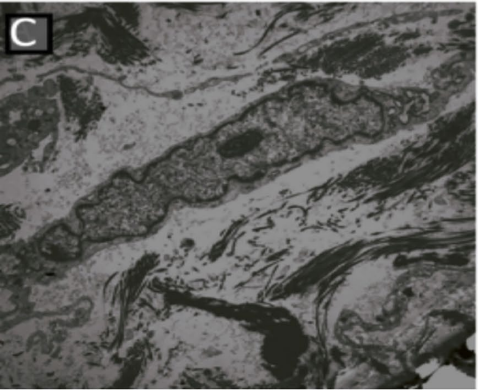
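Interstitial tissue with an elongated spindle-shaped cell lying among dense bundles of collagen fibrils. Its nucleus is long and oval with an irregular, wavy outline and a dark central clump of chromatin, surrounded by only a thin rim of cytoplasm. Very thin, winding cell processes run through the surrounding matrix above and below the cell. The collagen bundles appear as dark fibrillar masses running in several directions between the cell profiles.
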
